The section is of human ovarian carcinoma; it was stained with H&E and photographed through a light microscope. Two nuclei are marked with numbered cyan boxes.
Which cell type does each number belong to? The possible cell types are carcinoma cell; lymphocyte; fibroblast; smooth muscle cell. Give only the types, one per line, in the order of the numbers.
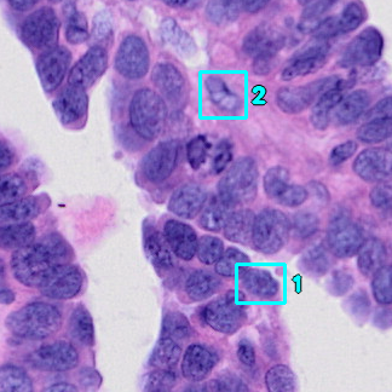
carcinoma cell
fibroblast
